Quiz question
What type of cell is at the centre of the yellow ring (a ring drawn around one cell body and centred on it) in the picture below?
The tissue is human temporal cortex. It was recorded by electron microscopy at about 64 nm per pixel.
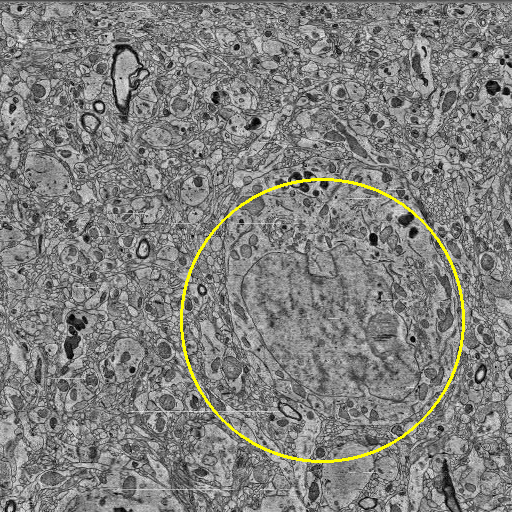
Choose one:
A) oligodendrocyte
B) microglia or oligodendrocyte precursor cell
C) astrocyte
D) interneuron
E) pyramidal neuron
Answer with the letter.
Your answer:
D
